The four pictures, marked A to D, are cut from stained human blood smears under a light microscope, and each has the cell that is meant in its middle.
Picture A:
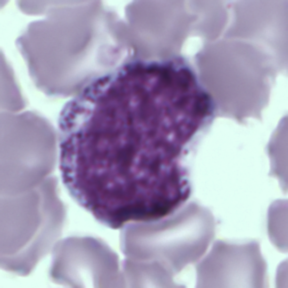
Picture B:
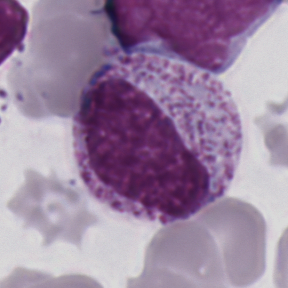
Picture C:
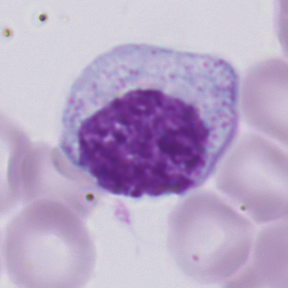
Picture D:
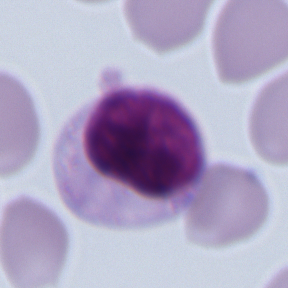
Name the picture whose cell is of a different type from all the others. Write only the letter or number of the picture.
D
